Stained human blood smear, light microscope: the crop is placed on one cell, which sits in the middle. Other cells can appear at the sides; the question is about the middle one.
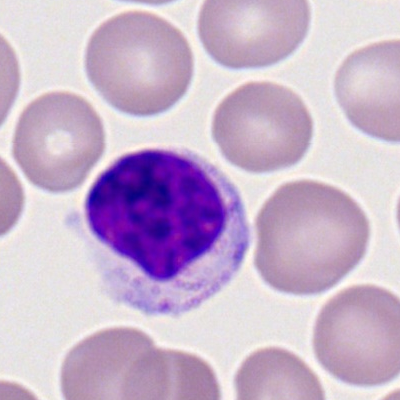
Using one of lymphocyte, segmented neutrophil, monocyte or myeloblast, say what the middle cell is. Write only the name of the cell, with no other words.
lymphocyte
